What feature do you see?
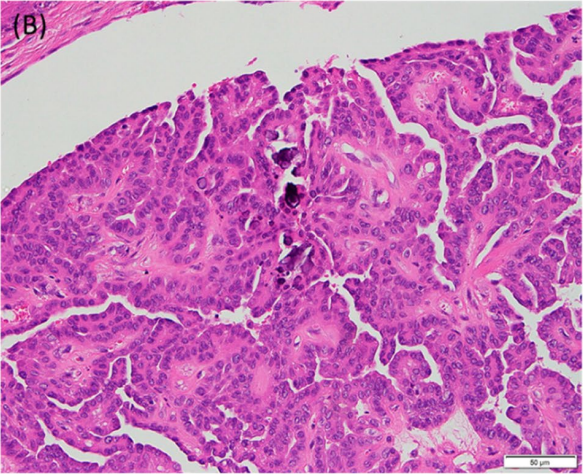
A: Complex papillae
